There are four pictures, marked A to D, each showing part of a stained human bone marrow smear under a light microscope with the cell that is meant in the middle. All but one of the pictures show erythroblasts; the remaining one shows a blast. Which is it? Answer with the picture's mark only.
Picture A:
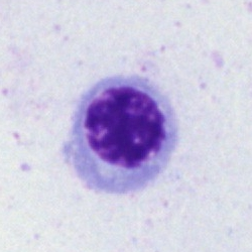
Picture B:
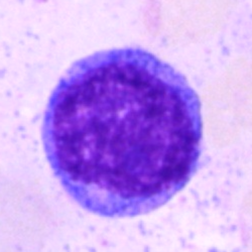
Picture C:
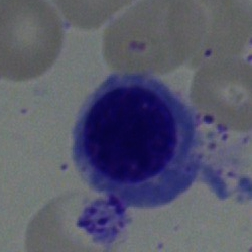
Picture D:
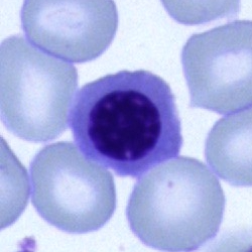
B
